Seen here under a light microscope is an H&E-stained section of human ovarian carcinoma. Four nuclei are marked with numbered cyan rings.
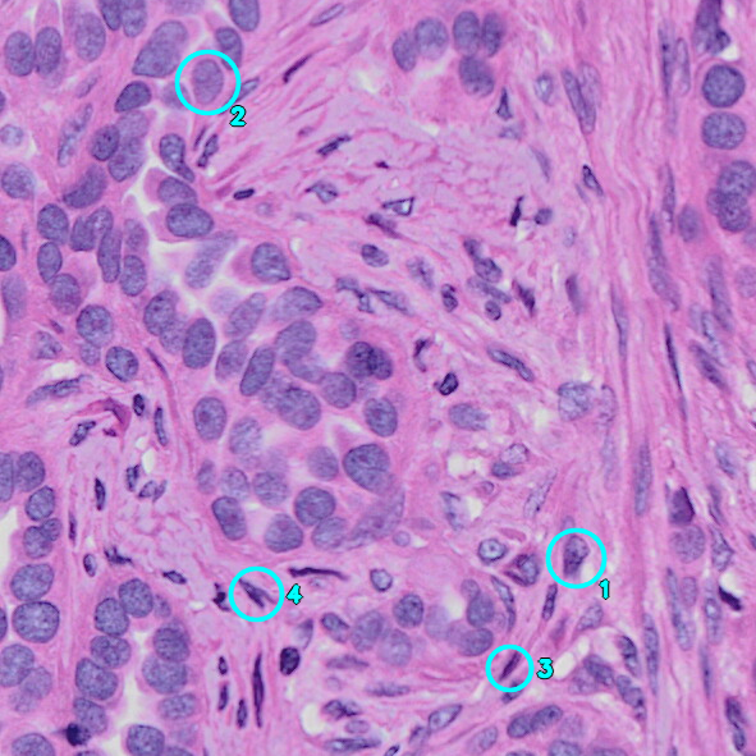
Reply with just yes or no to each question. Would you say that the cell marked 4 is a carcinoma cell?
no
